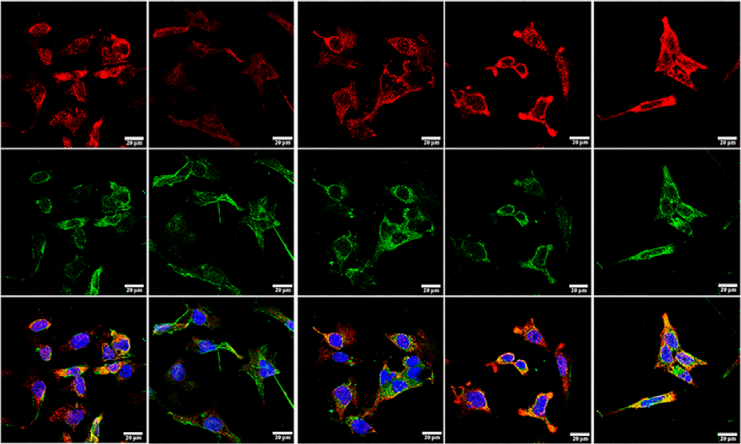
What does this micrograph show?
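The cells are flat and spread, with irregular, angular outlines, and some have long thin extensions. Each has one oval blue nucleus in the middle. Both the red and the green label fill the cytoplasm as a fine network that is densest around the nucleus, and where the two overlap in the merged images the cytoplasm looks yellow-orange.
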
